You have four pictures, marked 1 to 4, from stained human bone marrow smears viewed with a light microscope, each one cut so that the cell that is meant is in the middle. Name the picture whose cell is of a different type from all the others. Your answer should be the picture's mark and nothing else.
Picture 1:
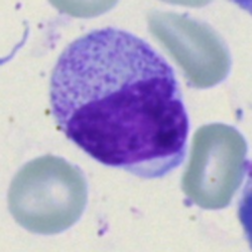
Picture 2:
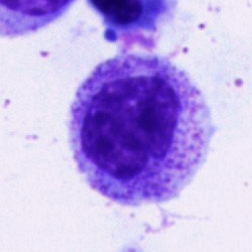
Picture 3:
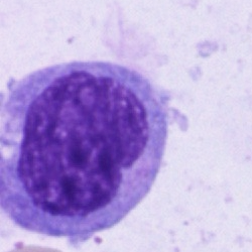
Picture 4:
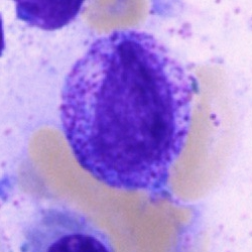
3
